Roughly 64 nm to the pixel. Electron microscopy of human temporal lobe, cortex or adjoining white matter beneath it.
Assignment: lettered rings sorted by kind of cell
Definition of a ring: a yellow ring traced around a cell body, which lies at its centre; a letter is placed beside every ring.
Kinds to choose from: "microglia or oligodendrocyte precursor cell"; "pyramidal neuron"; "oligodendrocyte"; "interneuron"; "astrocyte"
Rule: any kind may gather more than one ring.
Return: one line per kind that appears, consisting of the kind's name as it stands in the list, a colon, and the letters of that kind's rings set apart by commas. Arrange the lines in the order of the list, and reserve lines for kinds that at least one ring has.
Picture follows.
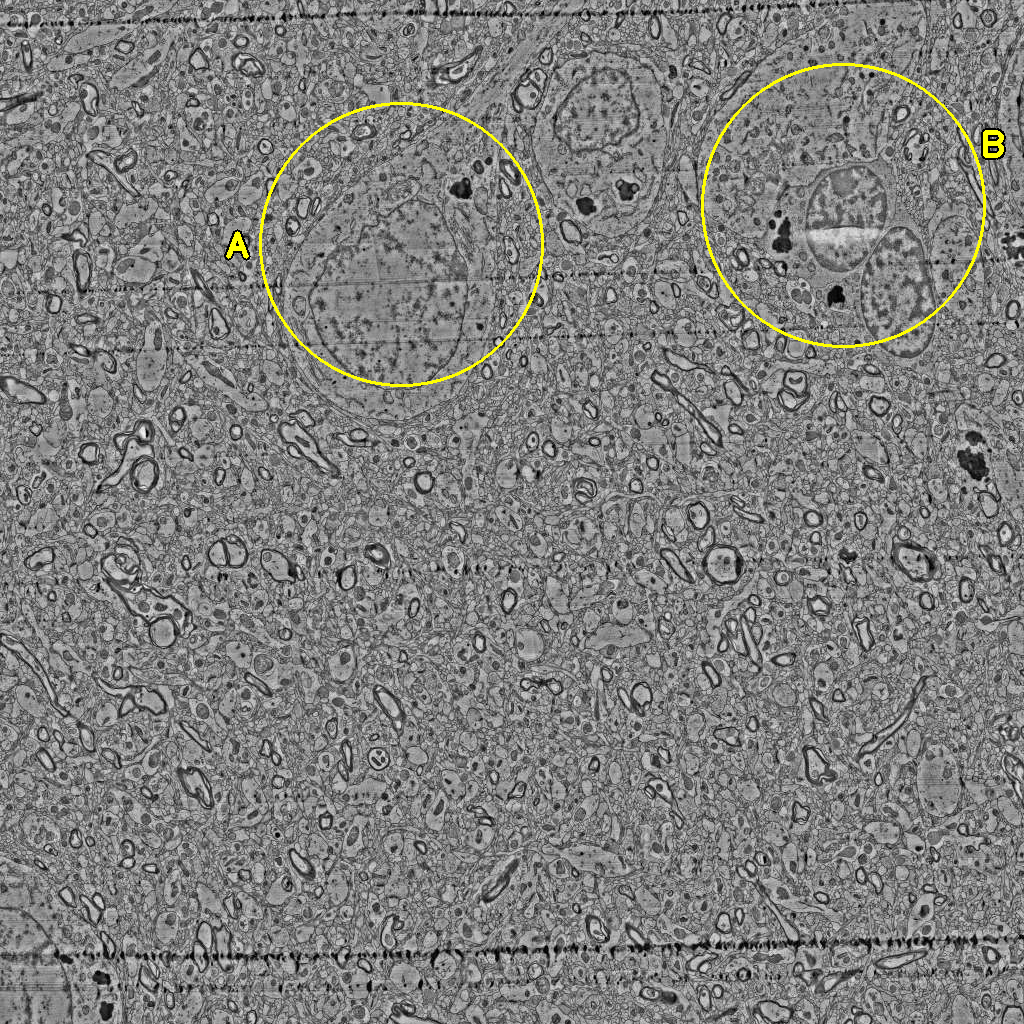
pyramidal neuron: A
oligodendrocyte: B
